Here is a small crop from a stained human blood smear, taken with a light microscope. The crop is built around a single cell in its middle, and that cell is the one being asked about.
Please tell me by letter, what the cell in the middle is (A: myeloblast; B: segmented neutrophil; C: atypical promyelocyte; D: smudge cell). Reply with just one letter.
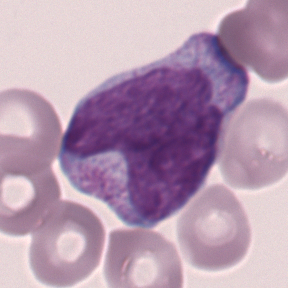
C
